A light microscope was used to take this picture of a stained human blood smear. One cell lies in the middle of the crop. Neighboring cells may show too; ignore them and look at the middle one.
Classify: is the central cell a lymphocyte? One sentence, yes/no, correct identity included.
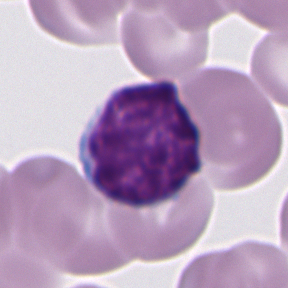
Yes, the cell at the very centre of the crop is a lymphocyte.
